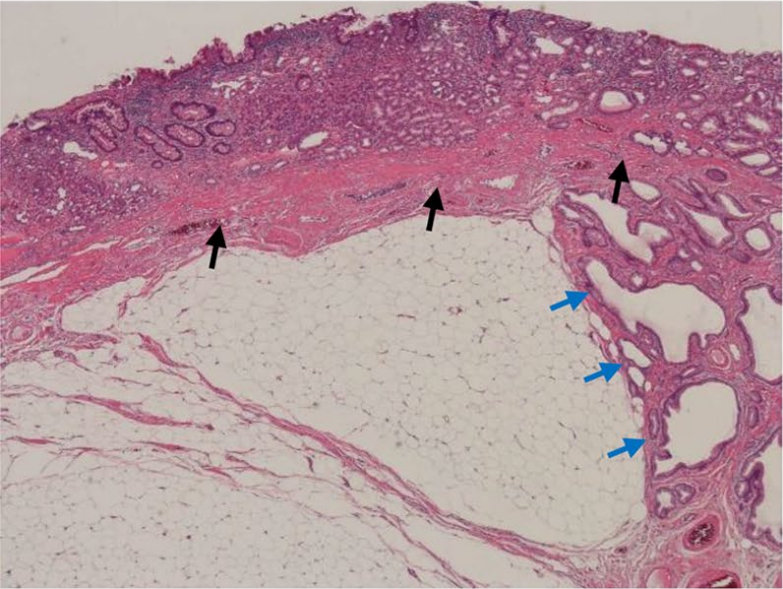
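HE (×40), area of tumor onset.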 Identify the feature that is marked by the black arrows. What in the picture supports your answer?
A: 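Muscularis mucosae. The arrows point to a thin pink band lying just beneath the gland-rich mucosa. The band separates the mucosal glands above from the deeper tissue below.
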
